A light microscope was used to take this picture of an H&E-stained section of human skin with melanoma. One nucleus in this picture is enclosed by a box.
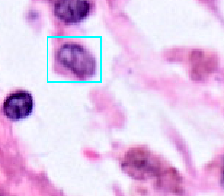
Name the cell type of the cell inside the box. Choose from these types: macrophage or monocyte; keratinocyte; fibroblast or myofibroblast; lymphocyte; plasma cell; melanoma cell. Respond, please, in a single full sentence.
In the tissue at hand, the cell inside the box is a macrophage or monocyte.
